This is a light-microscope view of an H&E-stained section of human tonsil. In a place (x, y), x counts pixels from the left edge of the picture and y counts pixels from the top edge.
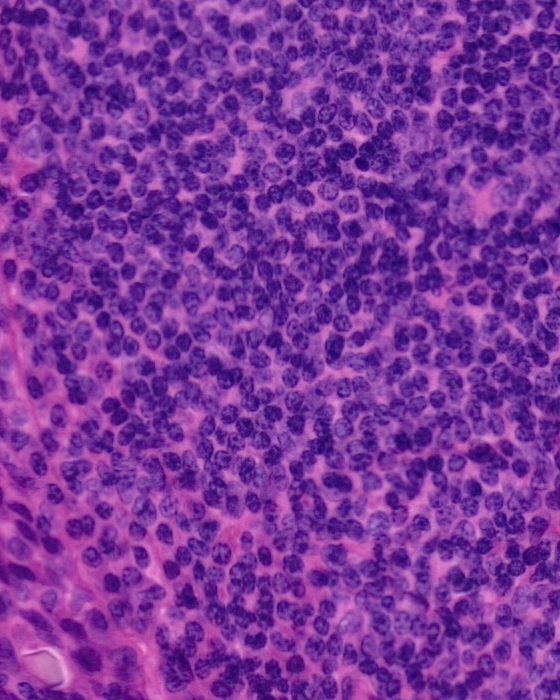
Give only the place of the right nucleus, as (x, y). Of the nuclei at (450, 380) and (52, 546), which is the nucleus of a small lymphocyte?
(450, 380)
